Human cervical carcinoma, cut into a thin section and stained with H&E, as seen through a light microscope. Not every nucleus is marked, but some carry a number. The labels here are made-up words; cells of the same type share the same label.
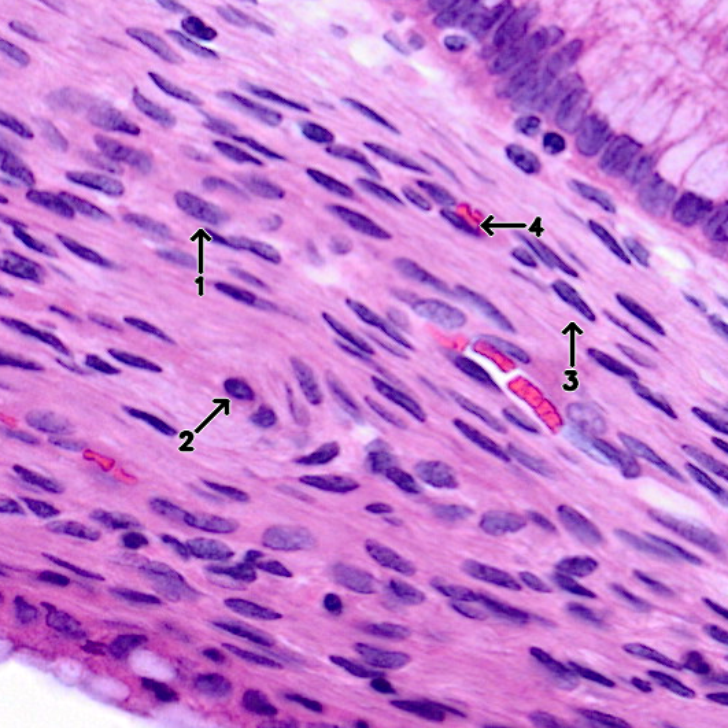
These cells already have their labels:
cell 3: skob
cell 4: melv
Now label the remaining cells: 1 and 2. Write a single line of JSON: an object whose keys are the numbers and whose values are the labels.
{"1": "skob", "2": "melv"}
